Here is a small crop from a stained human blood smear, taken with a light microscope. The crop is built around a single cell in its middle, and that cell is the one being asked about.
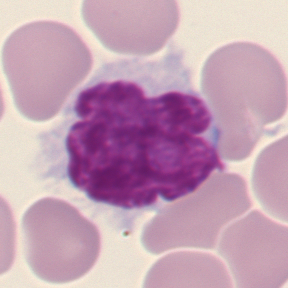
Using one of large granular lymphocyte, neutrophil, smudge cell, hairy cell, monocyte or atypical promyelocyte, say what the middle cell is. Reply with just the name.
hairy cell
